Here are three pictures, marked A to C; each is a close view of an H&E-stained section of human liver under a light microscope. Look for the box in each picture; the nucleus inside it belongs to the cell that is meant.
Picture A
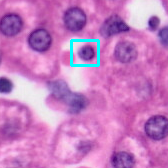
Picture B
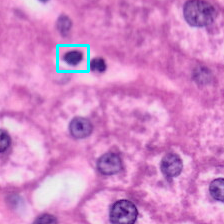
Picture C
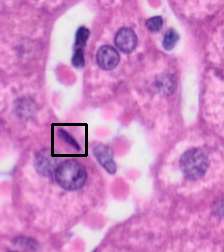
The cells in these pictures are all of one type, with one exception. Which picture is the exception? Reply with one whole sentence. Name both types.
The different one is picture C; it shows a “fibroblast or stellate cell”, whereas all the others show lymphocytes.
